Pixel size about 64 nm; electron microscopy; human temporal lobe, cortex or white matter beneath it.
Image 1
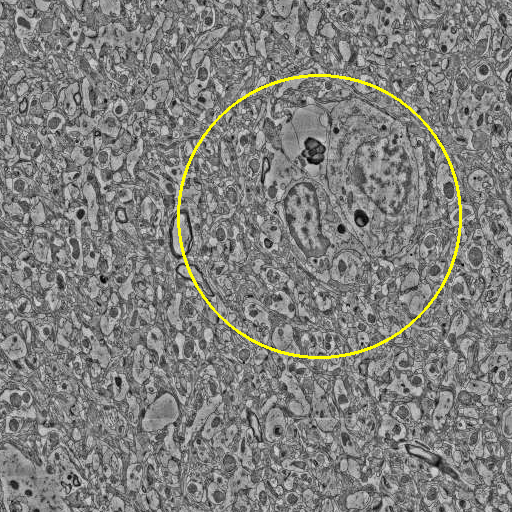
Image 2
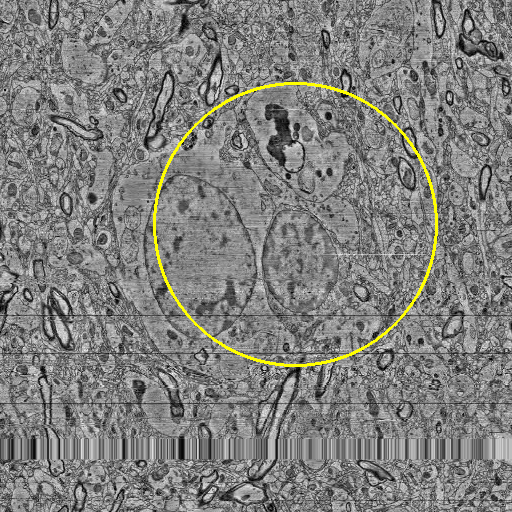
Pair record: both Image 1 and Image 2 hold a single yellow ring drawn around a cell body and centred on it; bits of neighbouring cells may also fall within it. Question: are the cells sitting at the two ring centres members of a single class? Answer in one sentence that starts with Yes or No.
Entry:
No, the ring-centre cells in Image 1 and Image 2 come from two classes.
